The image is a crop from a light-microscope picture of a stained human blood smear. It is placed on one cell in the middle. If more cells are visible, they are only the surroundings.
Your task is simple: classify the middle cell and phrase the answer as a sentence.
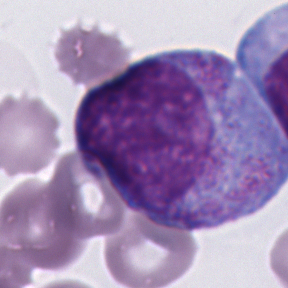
The cell featured at the centre of this crop is a promyelocyte.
